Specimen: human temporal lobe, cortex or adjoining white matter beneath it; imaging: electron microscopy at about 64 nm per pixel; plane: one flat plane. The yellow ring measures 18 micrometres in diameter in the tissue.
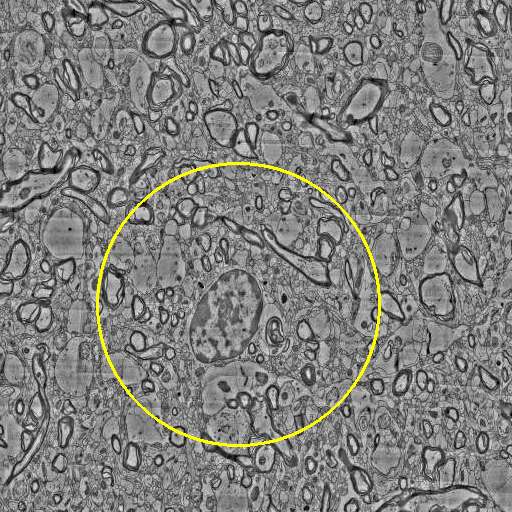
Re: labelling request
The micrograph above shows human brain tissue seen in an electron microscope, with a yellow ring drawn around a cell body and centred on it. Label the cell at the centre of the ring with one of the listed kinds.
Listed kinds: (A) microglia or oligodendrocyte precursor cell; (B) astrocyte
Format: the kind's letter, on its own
A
